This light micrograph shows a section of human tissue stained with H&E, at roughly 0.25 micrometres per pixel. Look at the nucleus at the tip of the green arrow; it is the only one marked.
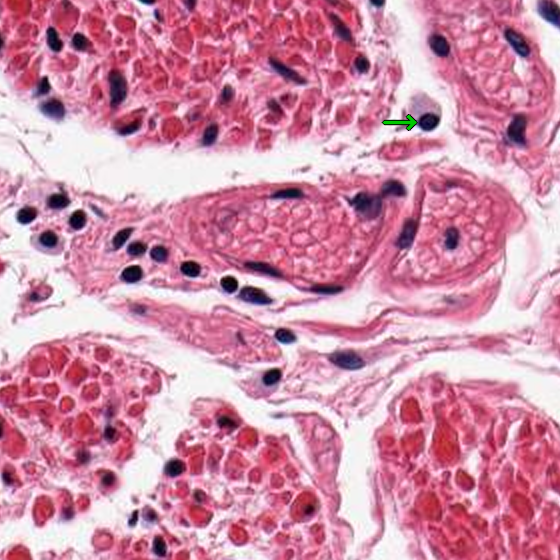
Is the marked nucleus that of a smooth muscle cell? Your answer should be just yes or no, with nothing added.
no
